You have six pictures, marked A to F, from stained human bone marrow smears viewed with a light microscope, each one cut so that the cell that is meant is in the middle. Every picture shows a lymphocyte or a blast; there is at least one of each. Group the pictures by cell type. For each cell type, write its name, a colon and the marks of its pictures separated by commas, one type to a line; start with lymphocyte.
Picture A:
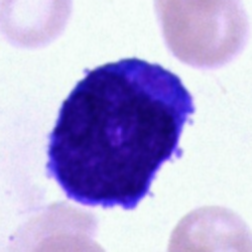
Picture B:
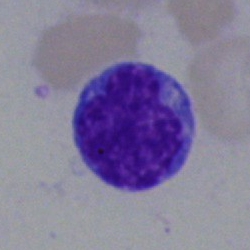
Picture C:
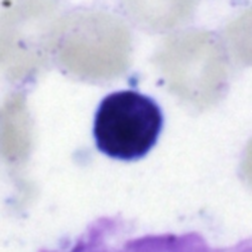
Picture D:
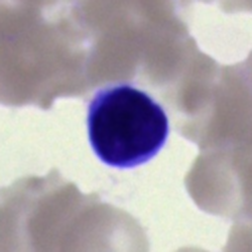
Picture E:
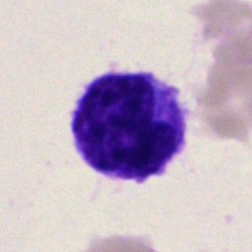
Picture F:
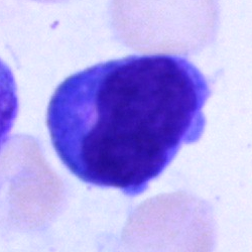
lymphocyte: C, D, E
blast: A, B, F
